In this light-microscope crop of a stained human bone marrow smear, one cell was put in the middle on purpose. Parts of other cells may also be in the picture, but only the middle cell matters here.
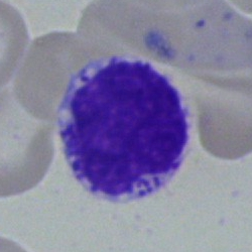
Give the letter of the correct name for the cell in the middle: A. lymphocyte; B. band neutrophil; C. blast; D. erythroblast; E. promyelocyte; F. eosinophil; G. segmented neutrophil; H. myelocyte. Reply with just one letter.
H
